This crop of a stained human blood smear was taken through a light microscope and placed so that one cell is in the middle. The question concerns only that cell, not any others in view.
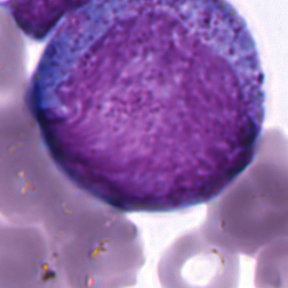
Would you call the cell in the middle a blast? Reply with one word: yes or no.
no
